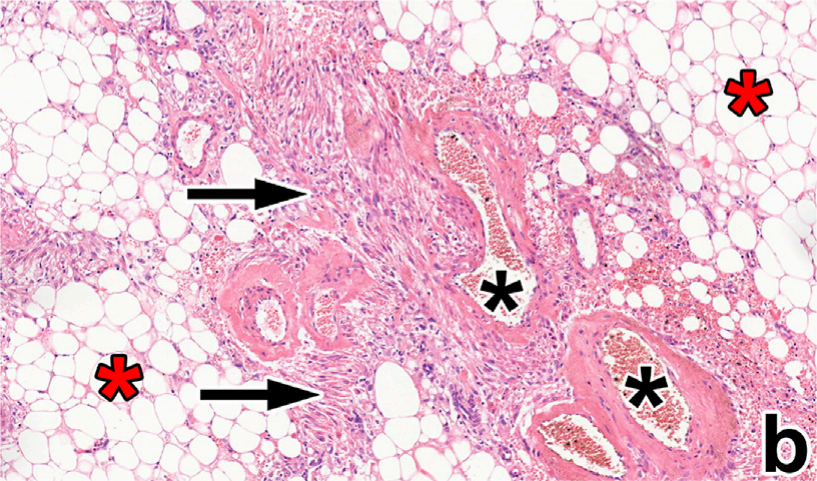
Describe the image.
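A tumor made of three intermixed components: fat tissue, smooth muscle cells and thick-walled blood vessels. On both sides lie sheets of fat cells, seen as large clear round to polygonal vacuoles of varying size with thin pink membranes and a few flattened peripheral nuclei. Through the centre runs a band of spindle-shaped cells with elongated nuclei and pink fibrillar cytoplasm, arranged in streaming fascicles. Within this band lie several blood vessels whose lumina are packed with red blood cells and whose walls are thick, homogeneous and glassy pink. Scattered red blood cells also lie in the stroma between the components.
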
